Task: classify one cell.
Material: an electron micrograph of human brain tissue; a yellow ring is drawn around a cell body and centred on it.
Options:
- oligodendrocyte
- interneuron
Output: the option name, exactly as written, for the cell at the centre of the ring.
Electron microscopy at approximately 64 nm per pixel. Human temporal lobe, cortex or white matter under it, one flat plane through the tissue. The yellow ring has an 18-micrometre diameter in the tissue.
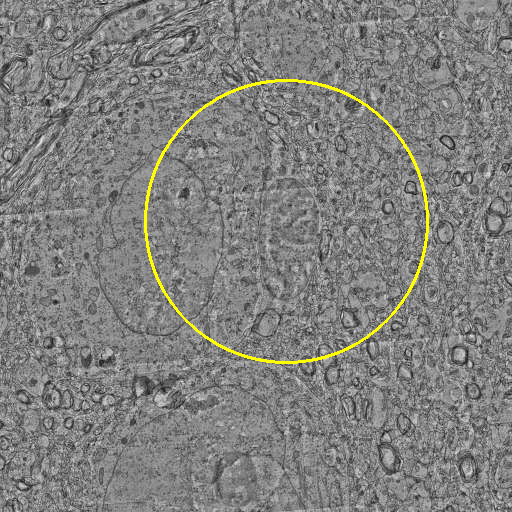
oligodendrocyte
